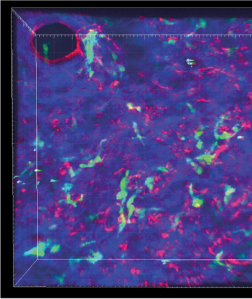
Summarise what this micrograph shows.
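Many small red dots and short red streaks are scattered across this meshwork. Numerous green cells lie spread throughout the field, several of them elongated or irregular in outline rather than round. Some green cells lie close together in small groups, especially toward the centre and right of the field. Near the upper left corner a round dark opening is outlined by a red rim.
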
